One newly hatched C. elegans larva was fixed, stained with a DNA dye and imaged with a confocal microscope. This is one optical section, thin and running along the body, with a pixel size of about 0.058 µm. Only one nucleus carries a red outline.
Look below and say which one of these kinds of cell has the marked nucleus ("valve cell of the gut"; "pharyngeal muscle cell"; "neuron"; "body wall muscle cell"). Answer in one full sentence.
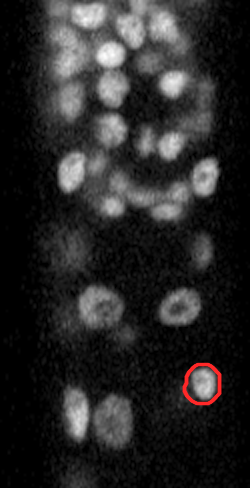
The cell with the marked nucleus is a body wall muscle cell.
